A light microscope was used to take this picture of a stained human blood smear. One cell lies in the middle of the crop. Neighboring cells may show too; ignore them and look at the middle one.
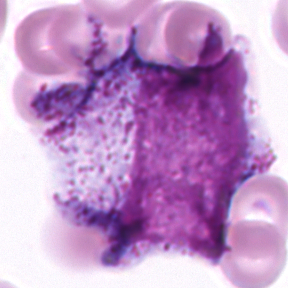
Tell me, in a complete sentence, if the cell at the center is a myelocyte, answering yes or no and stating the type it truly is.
No, the cell in the middle is a promyelocyte; it is not a myelocyte.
